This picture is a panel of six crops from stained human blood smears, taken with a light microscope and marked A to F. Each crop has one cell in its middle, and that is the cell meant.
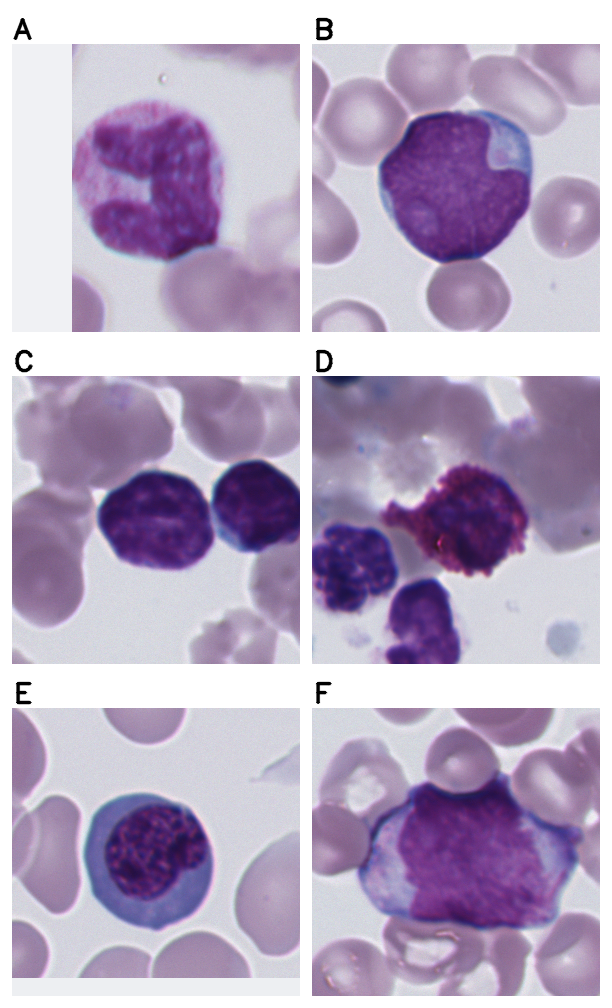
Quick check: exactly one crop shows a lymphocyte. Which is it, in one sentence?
Within this set, crop C is the one with a lymphocyte at its center.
